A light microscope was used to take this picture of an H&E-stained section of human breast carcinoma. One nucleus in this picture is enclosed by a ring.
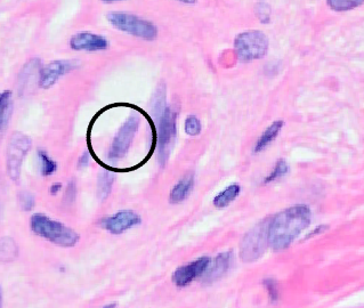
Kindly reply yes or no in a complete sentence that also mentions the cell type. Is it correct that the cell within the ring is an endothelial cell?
Yes, no change needed: the cell within the ring is an endothelial cell.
